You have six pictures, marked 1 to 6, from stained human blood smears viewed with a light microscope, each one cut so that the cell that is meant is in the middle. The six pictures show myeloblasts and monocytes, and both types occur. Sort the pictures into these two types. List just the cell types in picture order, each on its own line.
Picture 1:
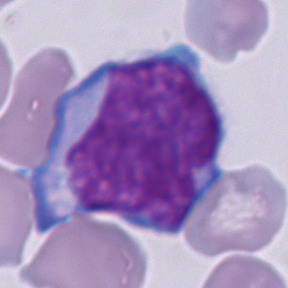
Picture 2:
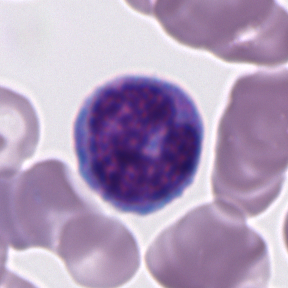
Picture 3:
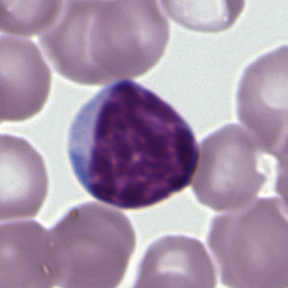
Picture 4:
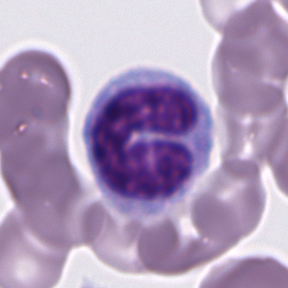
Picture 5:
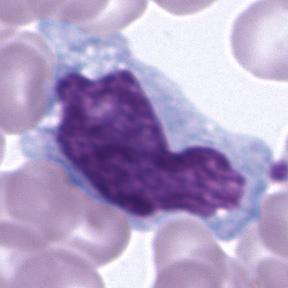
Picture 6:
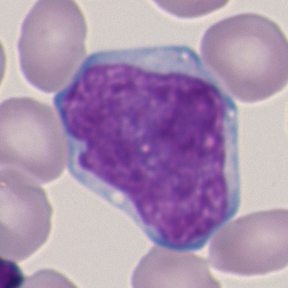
myeloblast
monocyte
myeloblast
monocyte
monocyte
myeloblast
